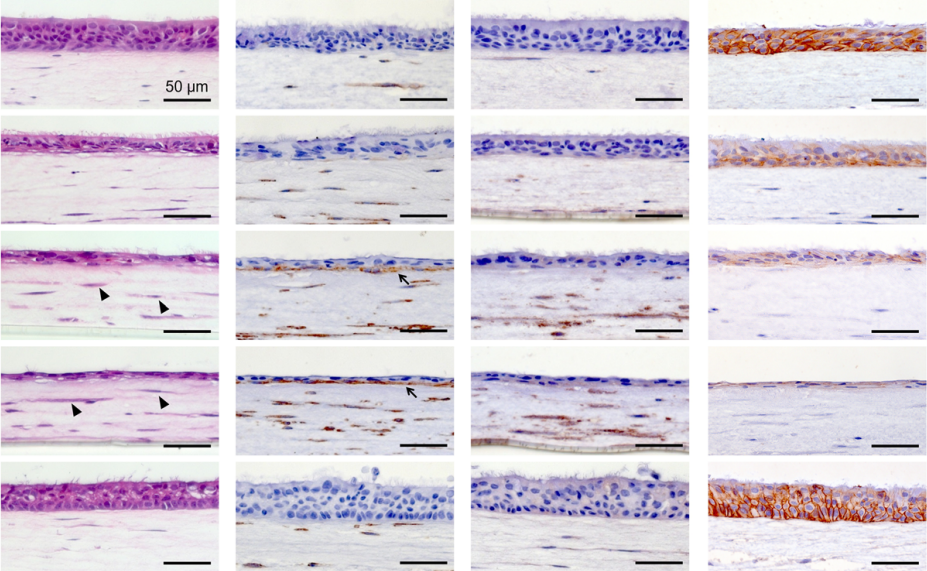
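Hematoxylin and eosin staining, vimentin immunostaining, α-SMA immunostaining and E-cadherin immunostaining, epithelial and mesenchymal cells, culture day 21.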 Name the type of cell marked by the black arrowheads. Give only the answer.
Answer: Fibroblast cells.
